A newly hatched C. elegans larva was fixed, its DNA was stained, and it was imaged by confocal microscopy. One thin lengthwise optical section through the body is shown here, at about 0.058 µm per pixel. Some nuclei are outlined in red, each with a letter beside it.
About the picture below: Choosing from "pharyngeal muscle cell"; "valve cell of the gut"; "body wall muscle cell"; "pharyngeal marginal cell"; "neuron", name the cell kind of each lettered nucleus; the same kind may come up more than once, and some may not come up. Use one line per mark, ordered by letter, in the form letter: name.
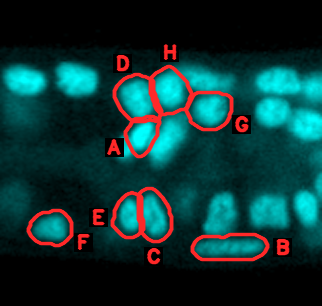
A: valve cell of the gut
B: body wall muscle cell
C: valve cell of the gut
D: neuron
E: valve cell of the gut
F: body wall muscle cell
G: pharyngeal marginal cell
H: neuron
